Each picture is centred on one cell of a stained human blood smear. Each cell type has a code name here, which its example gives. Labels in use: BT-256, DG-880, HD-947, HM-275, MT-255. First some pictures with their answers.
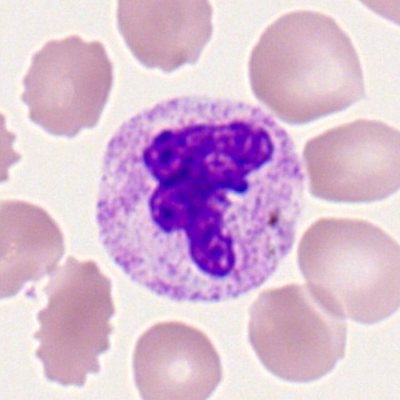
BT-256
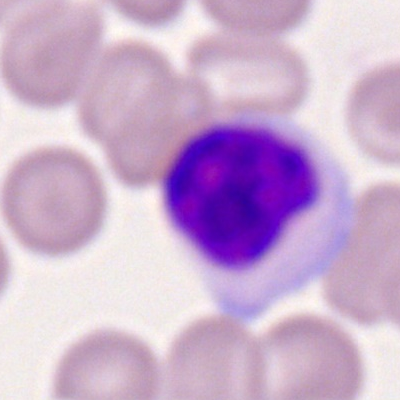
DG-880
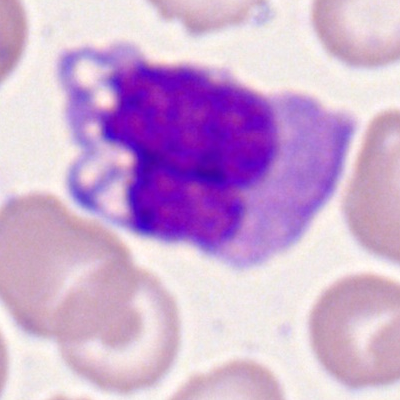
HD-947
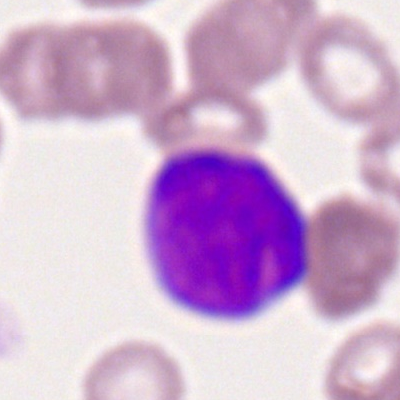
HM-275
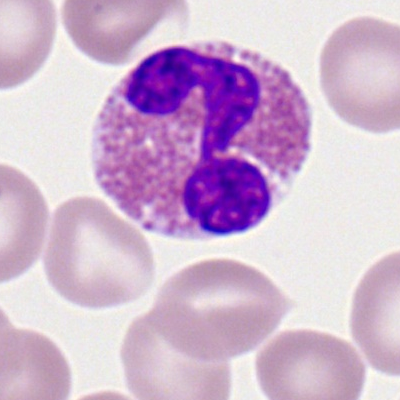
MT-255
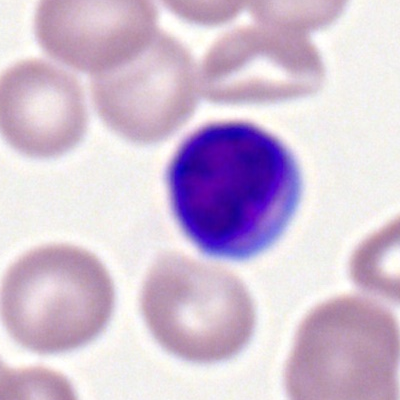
DG-880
